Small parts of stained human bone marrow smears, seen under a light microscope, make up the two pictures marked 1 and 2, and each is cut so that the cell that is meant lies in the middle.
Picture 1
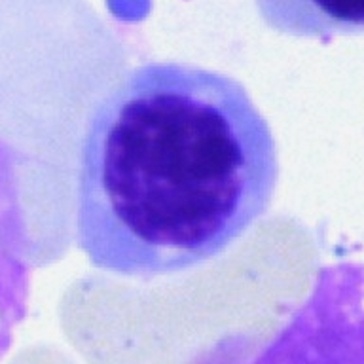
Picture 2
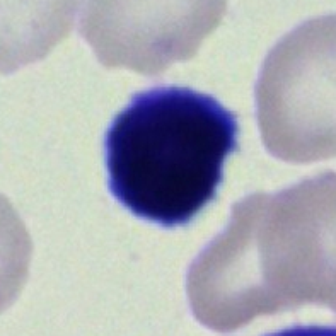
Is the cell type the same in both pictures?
no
